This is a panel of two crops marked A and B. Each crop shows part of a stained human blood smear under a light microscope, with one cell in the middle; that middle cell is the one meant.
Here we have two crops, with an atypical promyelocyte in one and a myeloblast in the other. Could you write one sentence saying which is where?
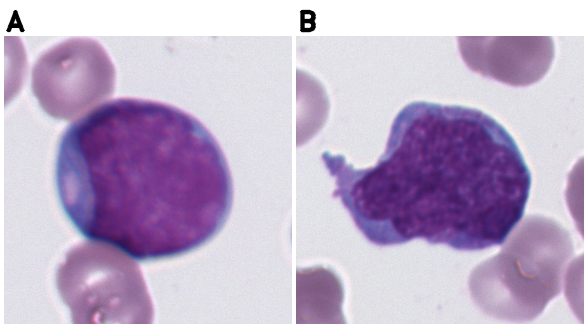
In crop A, a myeloblast is present; in crop B, an atypical promyelocyte is present.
